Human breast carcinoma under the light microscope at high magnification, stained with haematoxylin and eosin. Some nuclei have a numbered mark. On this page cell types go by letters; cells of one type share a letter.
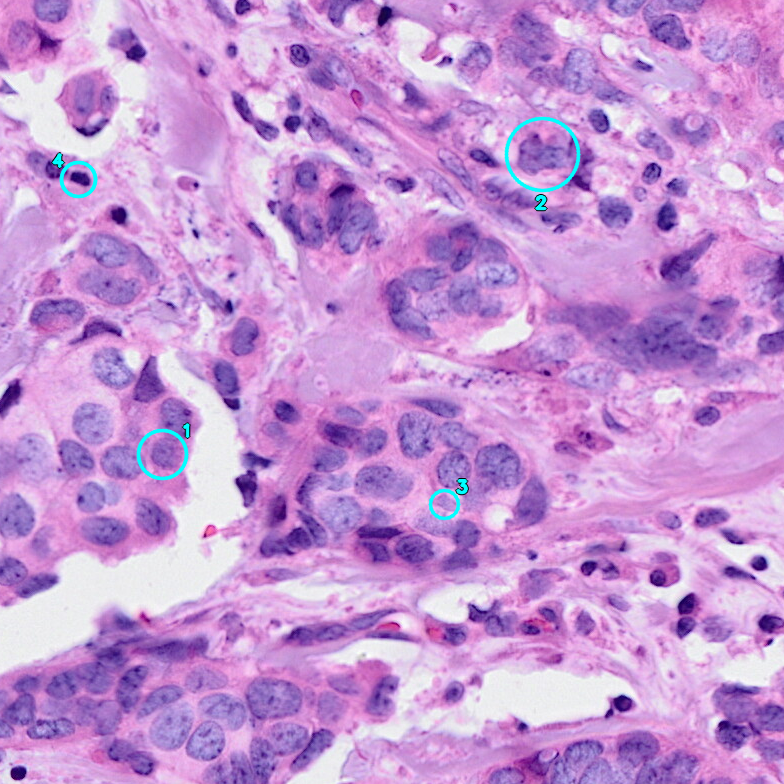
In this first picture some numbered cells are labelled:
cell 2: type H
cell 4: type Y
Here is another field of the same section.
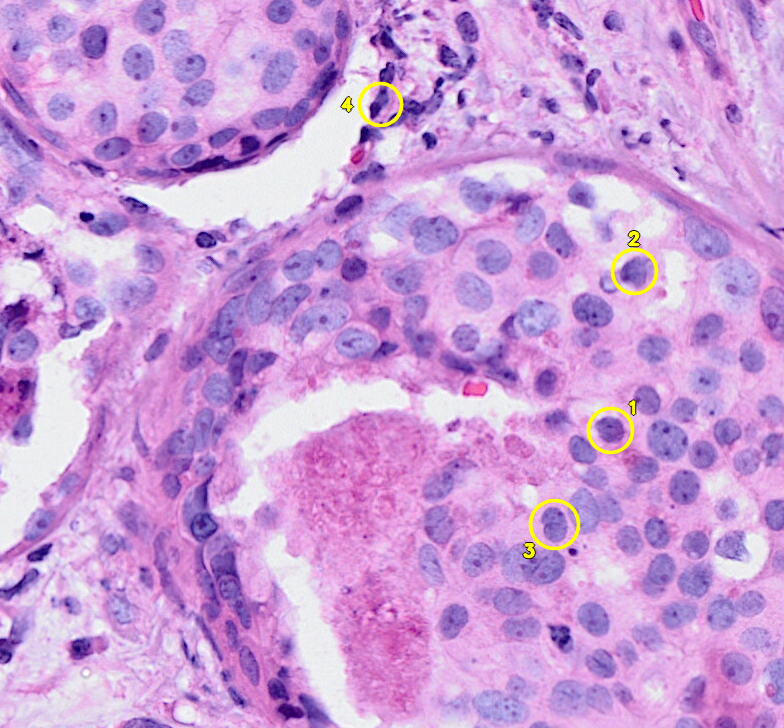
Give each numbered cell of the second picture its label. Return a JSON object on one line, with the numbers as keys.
{"1": "type H", "2": "type H", "3": "type H", "4": "type Y"}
